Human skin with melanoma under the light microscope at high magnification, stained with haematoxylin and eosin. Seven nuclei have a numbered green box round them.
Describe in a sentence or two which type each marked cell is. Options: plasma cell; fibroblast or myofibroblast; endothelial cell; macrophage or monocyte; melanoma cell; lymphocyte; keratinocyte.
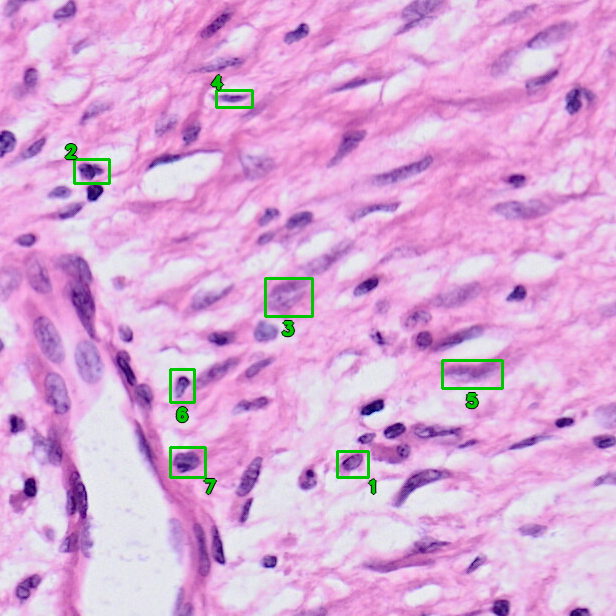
Cell 1 is a macrophage or monocyte. Cells 2, 6 and 7 are lymphocytes. Cells 3, 4 and 5 are fibroblasts or myofibroblasts.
